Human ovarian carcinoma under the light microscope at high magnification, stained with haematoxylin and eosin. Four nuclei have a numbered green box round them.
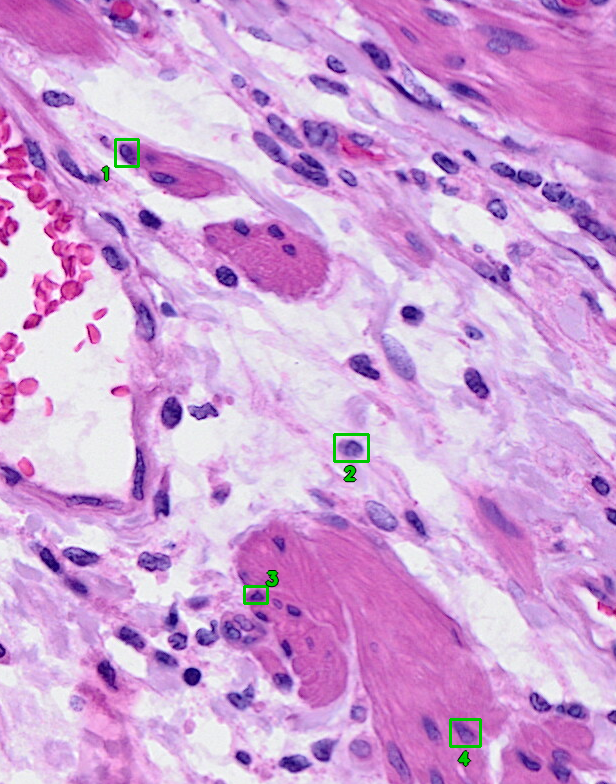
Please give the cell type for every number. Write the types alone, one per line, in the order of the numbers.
smooth muscle cell
lymphocyte
smooth muscle cell
smooth muscle cell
